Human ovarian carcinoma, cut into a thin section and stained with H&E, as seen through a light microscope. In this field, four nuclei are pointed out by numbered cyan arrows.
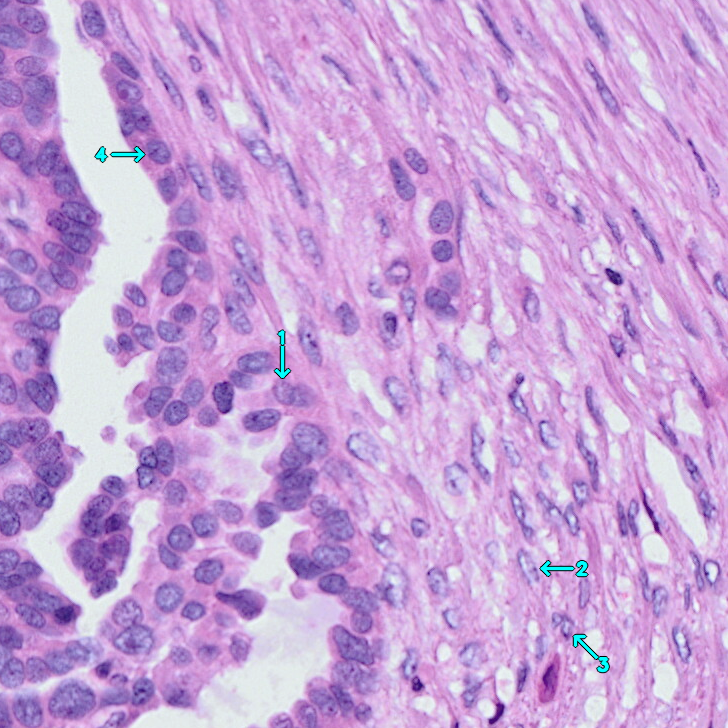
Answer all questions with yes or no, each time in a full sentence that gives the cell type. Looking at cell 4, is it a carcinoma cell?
Yes, the cell tagged with the number 4 is a carcinoma cell.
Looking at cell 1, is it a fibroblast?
No, the cell carrying number 1 is a carcinoma cell, not a fibroblast.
